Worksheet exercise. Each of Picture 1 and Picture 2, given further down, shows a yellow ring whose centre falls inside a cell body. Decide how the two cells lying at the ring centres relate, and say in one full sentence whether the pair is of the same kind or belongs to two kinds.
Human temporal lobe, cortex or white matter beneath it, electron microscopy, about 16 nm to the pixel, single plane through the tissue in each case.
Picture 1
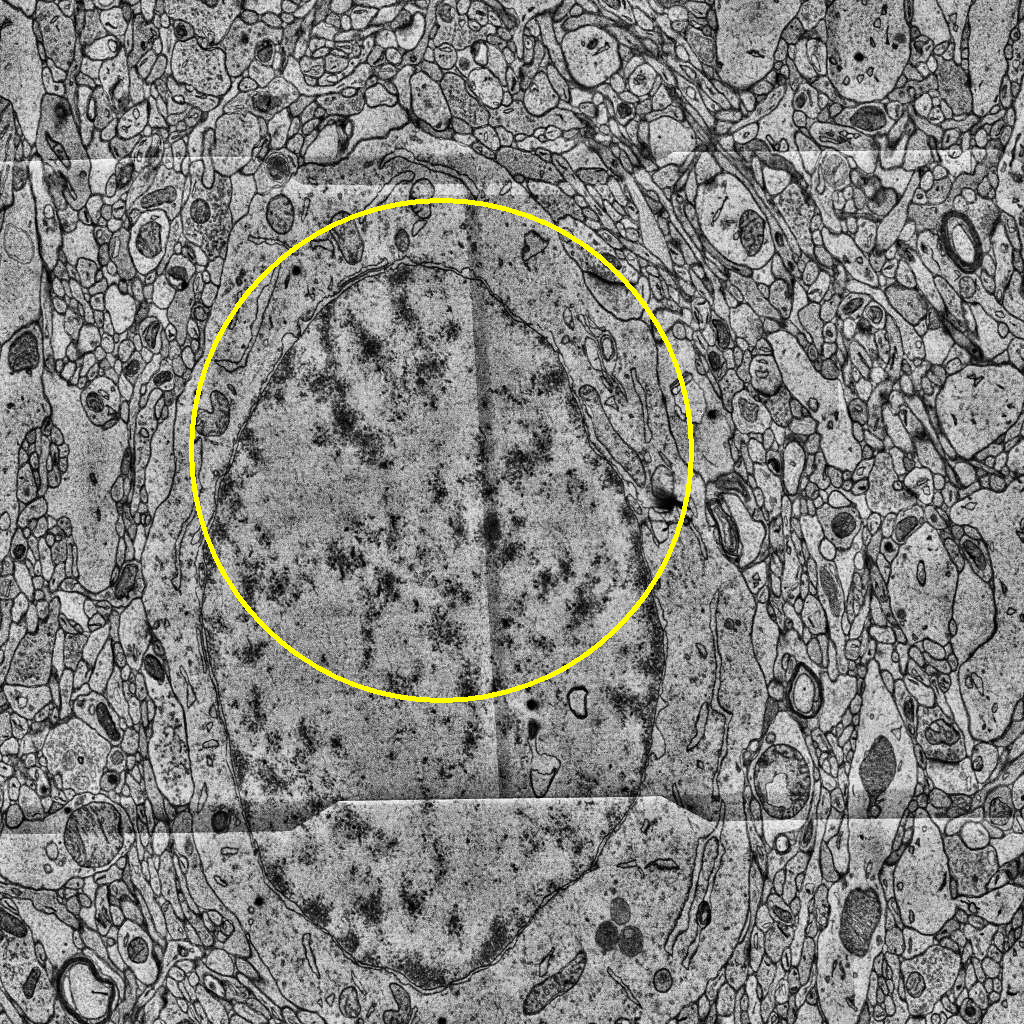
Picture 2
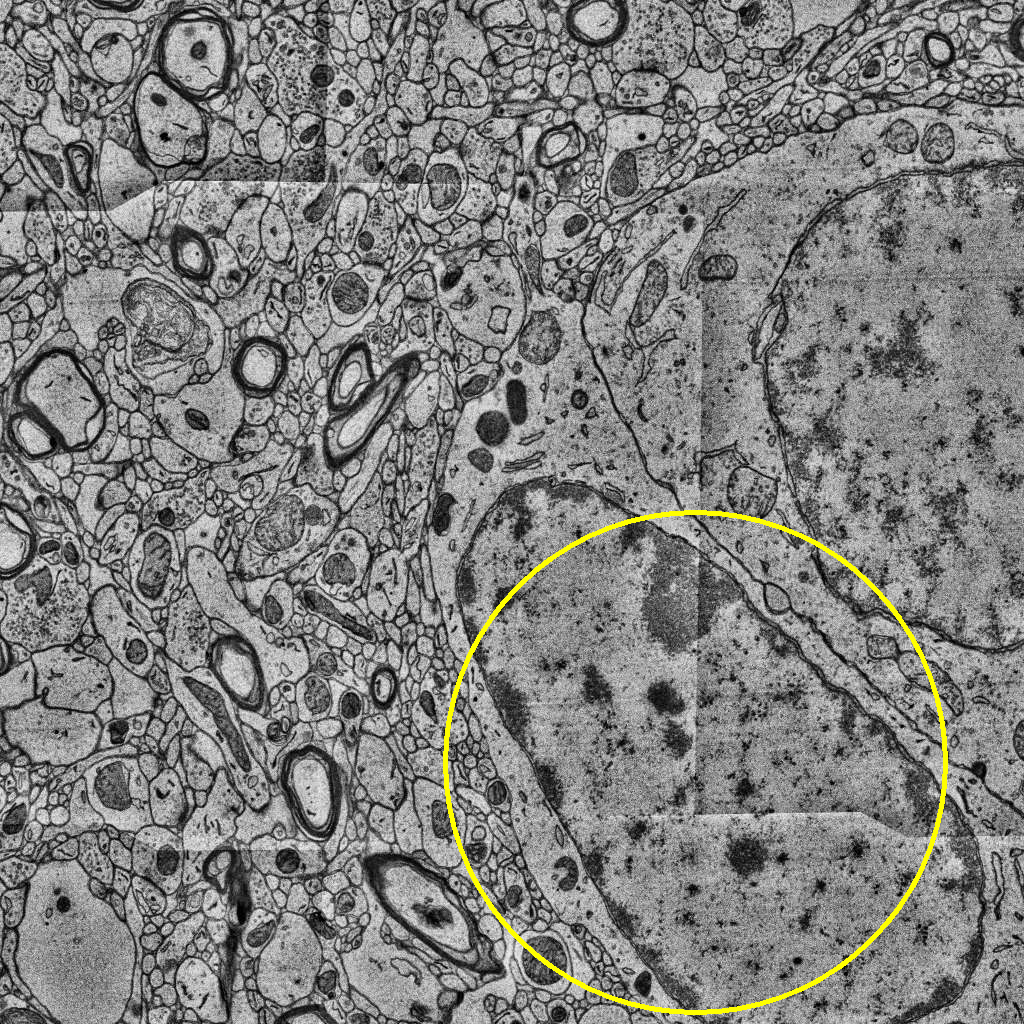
The cells at the ring centres in Picture 1 and Picture 2 belong to two kinds.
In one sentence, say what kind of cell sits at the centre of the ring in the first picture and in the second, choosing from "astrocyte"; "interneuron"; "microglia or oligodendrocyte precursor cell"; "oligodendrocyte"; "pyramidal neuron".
At the centre of the first ring sits an interneuron, and at the centre of the second sits a microglial cell or oligodendrocyte precursor cell.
